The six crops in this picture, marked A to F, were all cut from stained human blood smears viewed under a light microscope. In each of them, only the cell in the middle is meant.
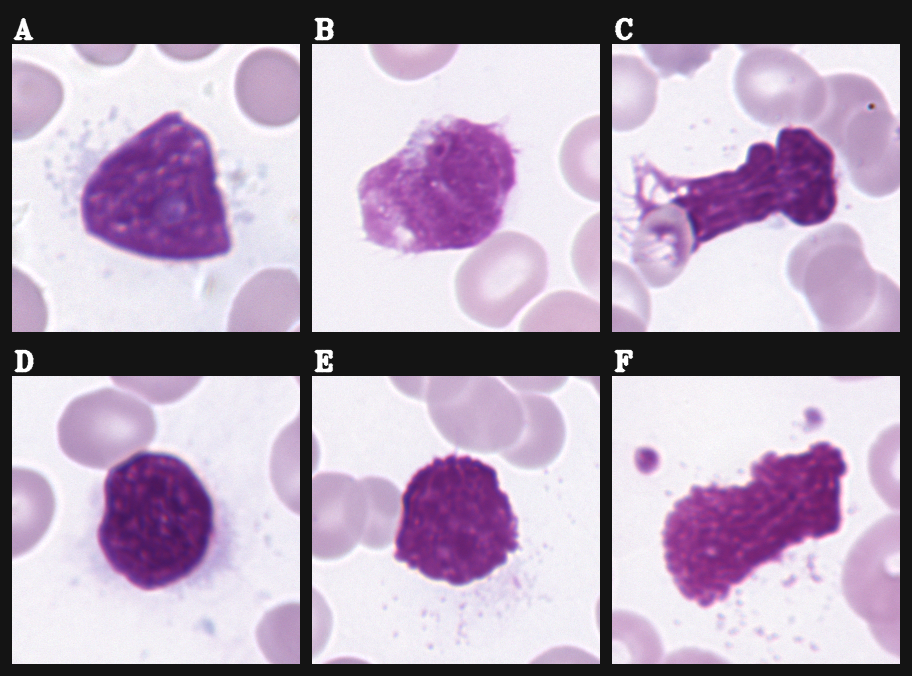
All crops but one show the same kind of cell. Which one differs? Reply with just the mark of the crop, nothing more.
D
